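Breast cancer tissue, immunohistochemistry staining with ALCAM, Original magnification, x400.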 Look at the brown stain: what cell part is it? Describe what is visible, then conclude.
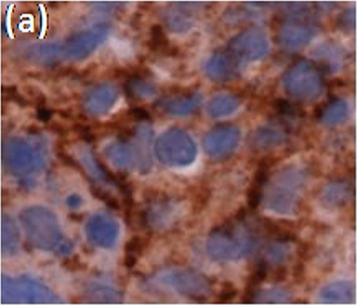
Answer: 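Cytoplasmic. Coarse brown granular deposits lie between and around blue nuclei. Cell borders are not sharply outlined by the stain. Nuclei remain blue.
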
